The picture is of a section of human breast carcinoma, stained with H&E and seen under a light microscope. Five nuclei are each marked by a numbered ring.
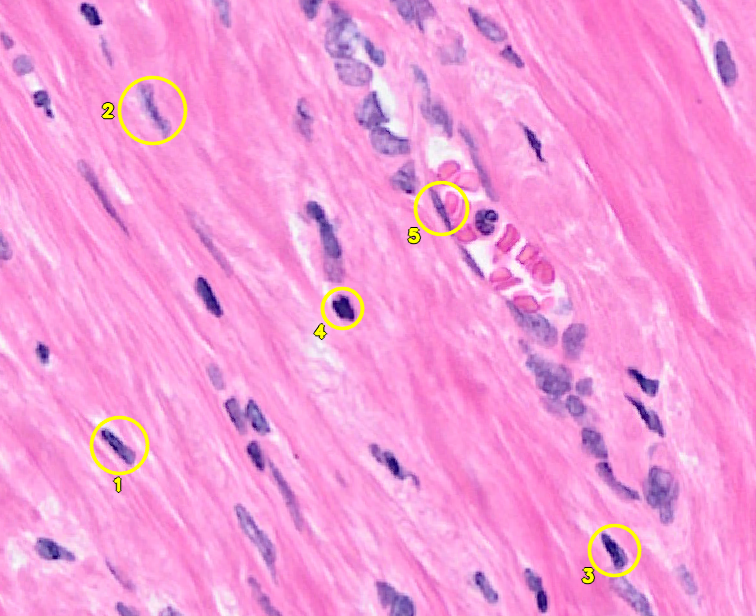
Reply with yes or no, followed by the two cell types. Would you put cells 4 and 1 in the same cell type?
Yes, within the numbered set, cells 4 and 1 are both lymphocytes.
